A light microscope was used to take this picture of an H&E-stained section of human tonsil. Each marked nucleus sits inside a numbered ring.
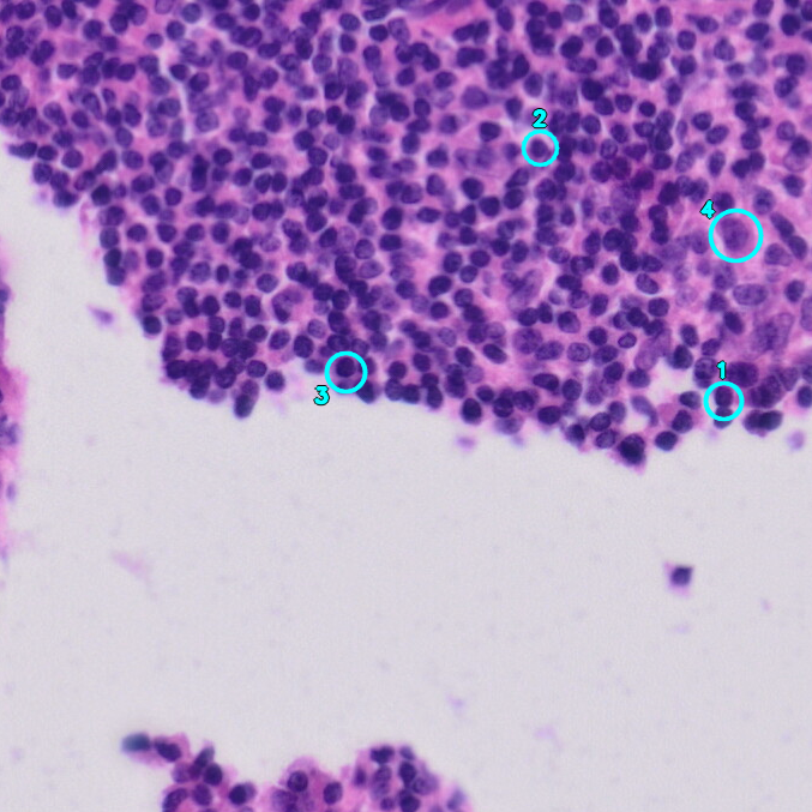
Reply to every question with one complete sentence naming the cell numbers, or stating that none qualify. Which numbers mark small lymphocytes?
The numbers 1, 2 and 3 in this section indicate small lymphocytes.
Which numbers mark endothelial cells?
Sorry, but none of the numbered cells are endothelial cells.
